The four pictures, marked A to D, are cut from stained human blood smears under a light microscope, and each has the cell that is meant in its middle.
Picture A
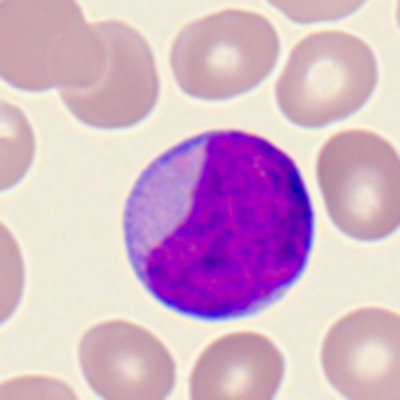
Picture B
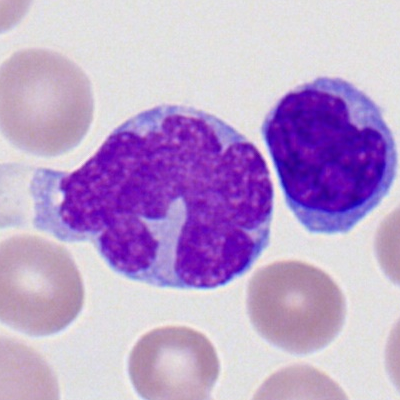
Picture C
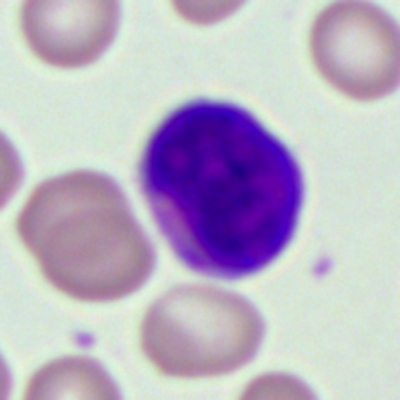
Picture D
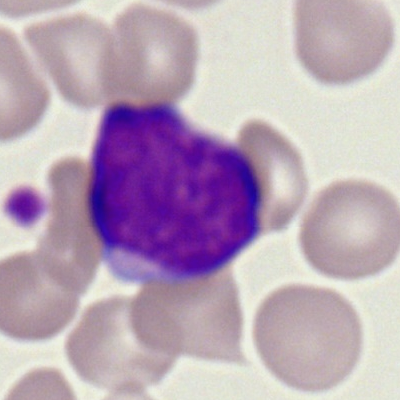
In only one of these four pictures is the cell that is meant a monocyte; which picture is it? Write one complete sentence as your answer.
It is picture B that shows the monocyte.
